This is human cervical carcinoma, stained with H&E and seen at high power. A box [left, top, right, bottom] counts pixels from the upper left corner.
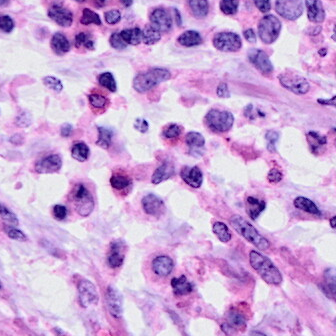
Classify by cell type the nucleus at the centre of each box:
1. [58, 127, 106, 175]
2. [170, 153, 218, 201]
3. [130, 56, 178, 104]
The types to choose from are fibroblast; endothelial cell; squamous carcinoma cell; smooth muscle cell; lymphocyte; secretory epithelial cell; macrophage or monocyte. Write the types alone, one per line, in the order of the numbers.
lymphocyte
lymphocyte
macrophage or monocyte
